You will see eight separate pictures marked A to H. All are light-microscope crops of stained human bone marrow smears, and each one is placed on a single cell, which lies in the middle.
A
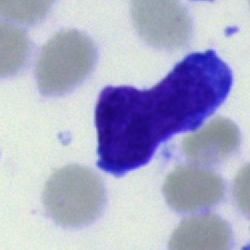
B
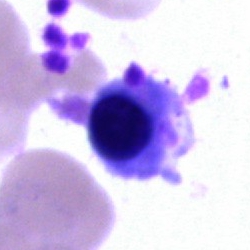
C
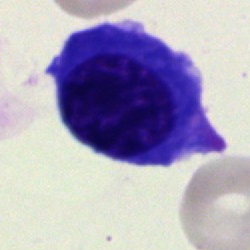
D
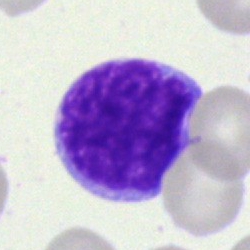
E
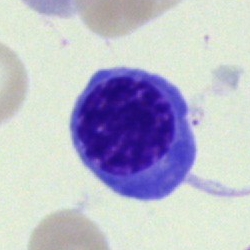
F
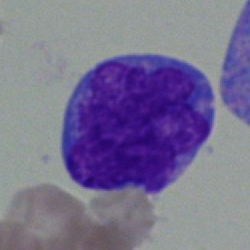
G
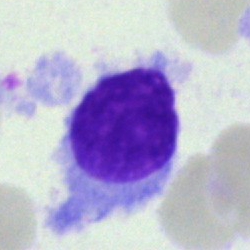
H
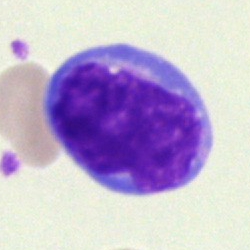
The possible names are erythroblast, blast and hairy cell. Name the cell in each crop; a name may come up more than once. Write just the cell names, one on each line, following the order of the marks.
blast
erythroblast
erythroblast
blast
erythroblast
blast
hairy cell
blast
